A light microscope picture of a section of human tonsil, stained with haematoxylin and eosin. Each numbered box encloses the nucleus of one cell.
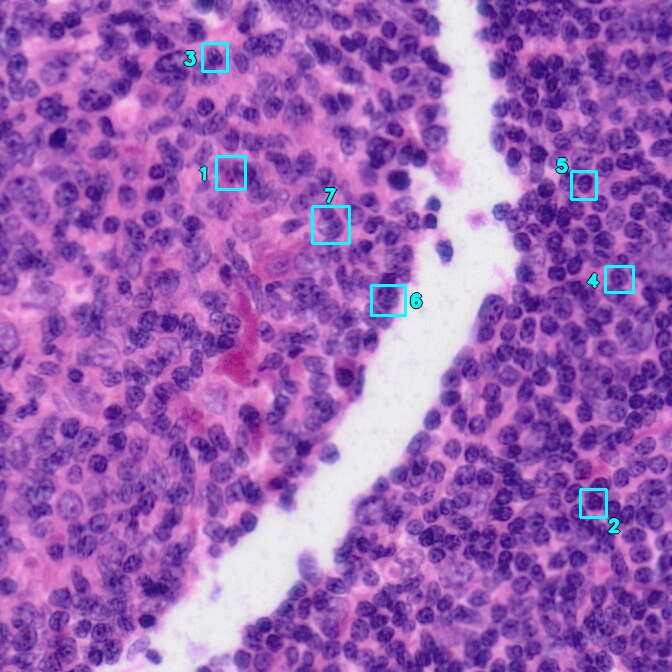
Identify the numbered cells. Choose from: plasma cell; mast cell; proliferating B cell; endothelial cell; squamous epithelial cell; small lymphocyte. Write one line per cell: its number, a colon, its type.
1: proliferating B cell
2: small lymphocyte
3: proliferating B cell
4: small lymphocyte
5: small lymphocyte
6: proliferating B cell
7: proliferating B cell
